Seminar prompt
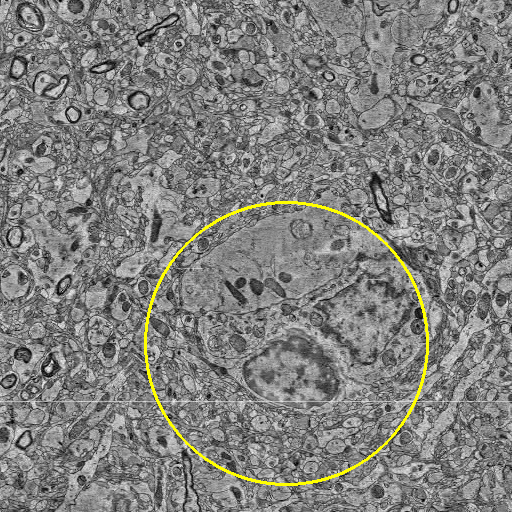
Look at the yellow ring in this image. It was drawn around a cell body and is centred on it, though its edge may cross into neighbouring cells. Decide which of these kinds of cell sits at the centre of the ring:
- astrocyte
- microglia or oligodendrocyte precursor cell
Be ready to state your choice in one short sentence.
The kind of cell at the ring's centre is a microglial cell or oligodendrocyte precursor cell.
